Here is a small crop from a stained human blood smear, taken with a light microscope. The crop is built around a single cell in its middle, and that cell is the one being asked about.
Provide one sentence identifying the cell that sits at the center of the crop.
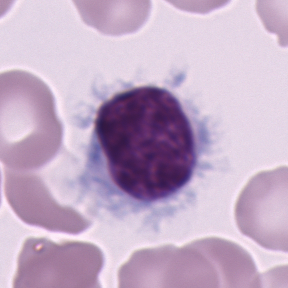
Present in the middle of the crop is a hairy cell.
